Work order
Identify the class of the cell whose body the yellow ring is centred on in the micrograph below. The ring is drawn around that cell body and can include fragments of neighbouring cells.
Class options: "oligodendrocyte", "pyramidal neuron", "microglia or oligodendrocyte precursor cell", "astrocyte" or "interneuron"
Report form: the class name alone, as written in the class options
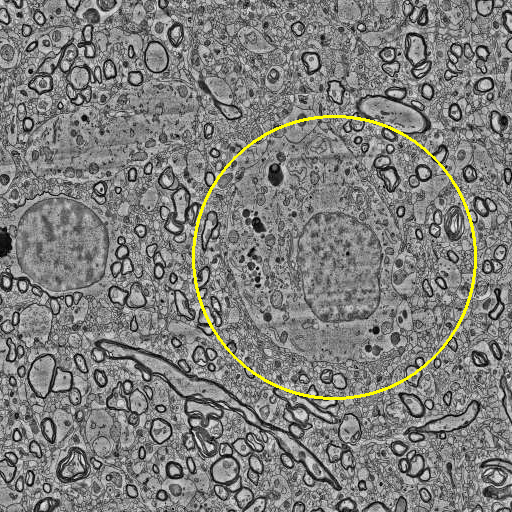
interneuron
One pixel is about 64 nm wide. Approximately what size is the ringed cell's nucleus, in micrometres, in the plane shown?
The nucleus works out at approximately 7 by 6 micrometres in this plane.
